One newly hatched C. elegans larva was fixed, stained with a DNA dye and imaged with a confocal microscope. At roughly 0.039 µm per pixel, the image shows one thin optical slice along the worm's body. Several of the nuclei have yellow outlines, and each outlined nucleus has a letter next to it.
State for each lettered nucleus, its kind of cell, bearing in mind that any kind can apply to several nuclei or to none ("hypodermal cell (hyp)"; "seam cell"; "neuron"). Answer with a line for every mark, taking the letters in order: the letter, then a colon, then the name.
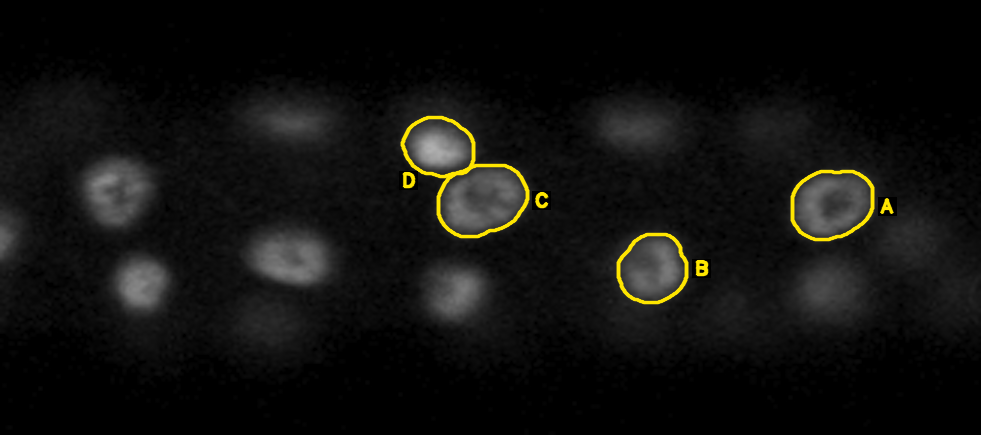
A: hypodermal cell (hyp)
B: seam cell
C: hypodermal cell (hyp)
D: neuron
